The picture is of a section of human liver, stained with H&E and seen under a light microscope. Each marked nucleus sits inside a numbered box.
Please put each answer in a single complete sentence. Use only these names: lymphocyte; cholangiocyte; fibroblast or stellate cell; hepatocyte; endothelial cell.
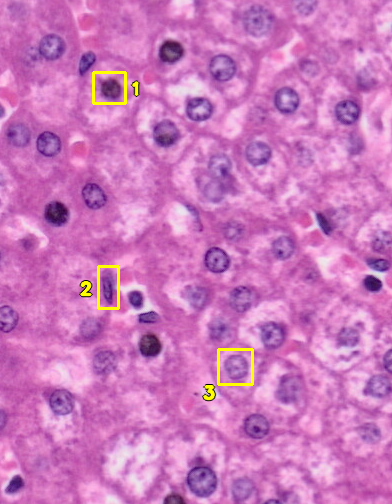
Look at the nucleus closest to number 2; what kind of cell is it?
Closest to number 2 lies the nucleus of a lymphocyte.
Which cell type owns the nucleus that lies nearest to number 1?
It is a fibroblast or stellate cell whose nucleus is nearest to number 1.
